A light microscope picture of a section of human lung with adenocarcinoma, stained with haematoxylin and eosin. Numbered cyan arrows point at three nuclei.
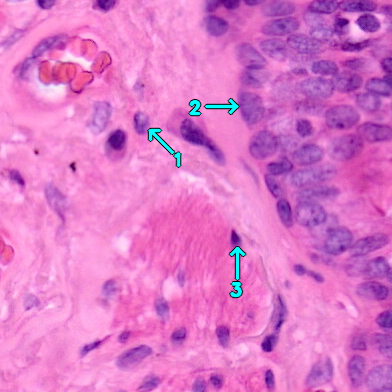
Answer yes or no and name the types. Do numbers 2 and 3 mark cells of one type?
No, sorry, cell 2 is a ciliated epithelial cell and cell 3 is a smooth muscle cell or pericyte.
